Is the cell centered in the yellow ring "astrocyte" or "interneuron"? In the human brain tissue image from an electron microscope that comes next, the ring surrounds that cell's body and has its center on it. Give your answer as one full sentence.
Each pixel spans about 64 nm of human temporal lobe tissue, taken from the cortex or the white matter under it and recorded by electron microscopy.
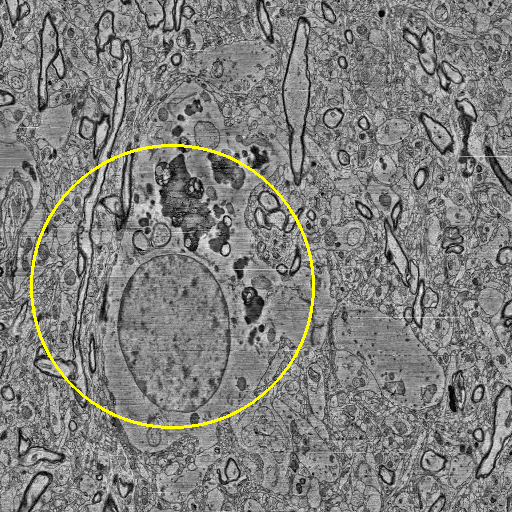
The cell at the center of the yellow ring is an astrocyte in the micrograph.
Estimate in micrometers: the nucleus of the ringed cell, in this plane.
The nucleus measures about 11 by 7 micrometres in this plane.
